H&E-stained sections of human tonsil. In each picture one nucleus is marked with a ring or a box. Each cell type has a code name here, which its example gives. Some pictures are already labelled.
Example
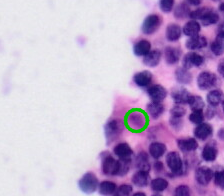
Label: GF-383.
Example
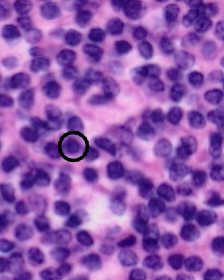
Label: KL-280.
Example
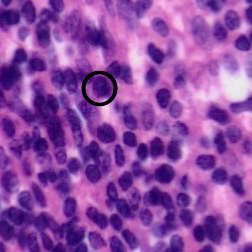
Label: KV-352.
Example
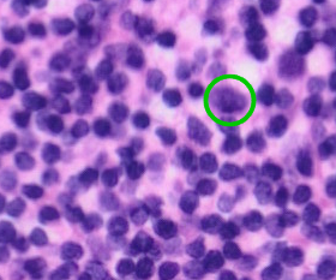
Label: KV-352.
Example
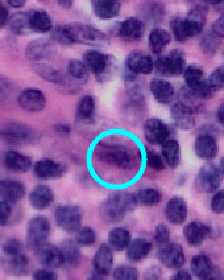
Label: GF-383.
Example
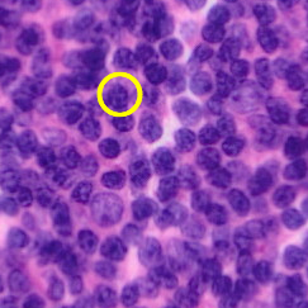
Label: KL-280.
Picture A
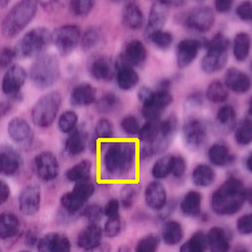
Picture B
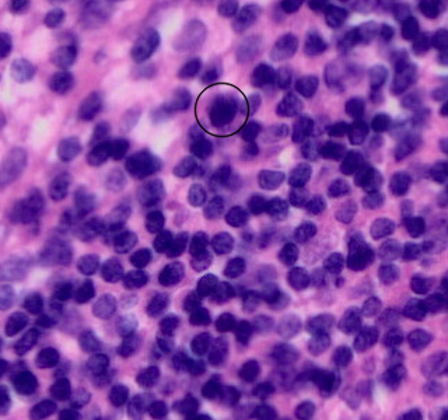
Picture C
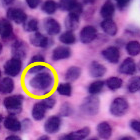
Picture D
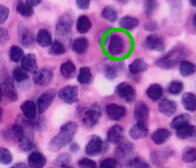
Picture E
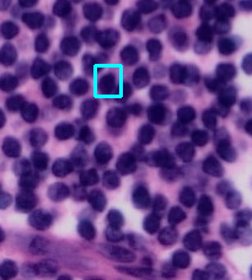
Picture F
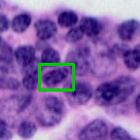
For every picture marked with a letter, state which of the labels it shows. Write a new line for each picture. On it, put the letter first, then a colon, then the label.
A: KV-352.
B: KV-352.
C: KL-280.
D: GF-383.
E: KL-280.
F: KV-352.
